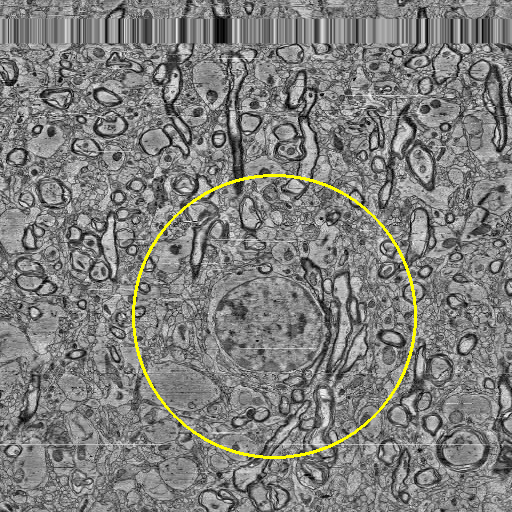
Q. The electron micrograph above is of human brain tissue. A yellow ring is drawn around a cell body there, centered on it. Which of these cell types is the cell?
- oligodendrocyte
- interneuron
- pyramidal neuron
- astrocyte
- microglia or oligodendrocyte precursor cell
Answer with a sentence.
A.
The cell under the ring's center is a microglial cell or oligodendrocyte precursor cell.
